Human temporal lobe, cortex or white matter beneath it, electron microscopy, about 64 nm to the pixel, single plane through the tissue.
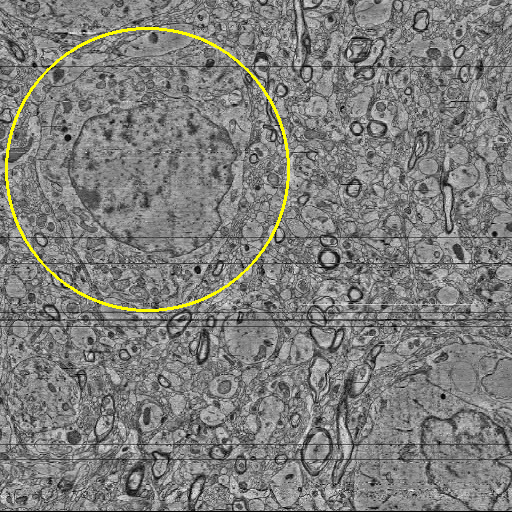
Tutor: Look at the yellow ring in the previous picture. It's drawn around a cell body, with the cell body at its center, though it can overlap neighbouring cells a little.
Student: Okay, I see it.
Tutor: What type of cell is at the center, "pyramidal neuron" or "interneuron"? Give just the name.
interneuron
